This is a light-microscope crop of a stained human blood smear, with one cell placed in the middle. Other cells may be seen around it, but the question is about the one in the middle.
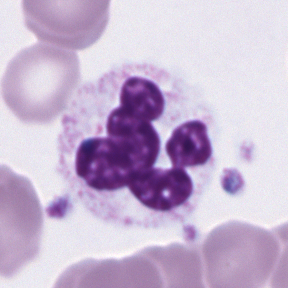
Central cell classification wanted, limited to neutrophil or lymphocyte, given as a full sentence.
What the crop centres on is a neutrophil.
